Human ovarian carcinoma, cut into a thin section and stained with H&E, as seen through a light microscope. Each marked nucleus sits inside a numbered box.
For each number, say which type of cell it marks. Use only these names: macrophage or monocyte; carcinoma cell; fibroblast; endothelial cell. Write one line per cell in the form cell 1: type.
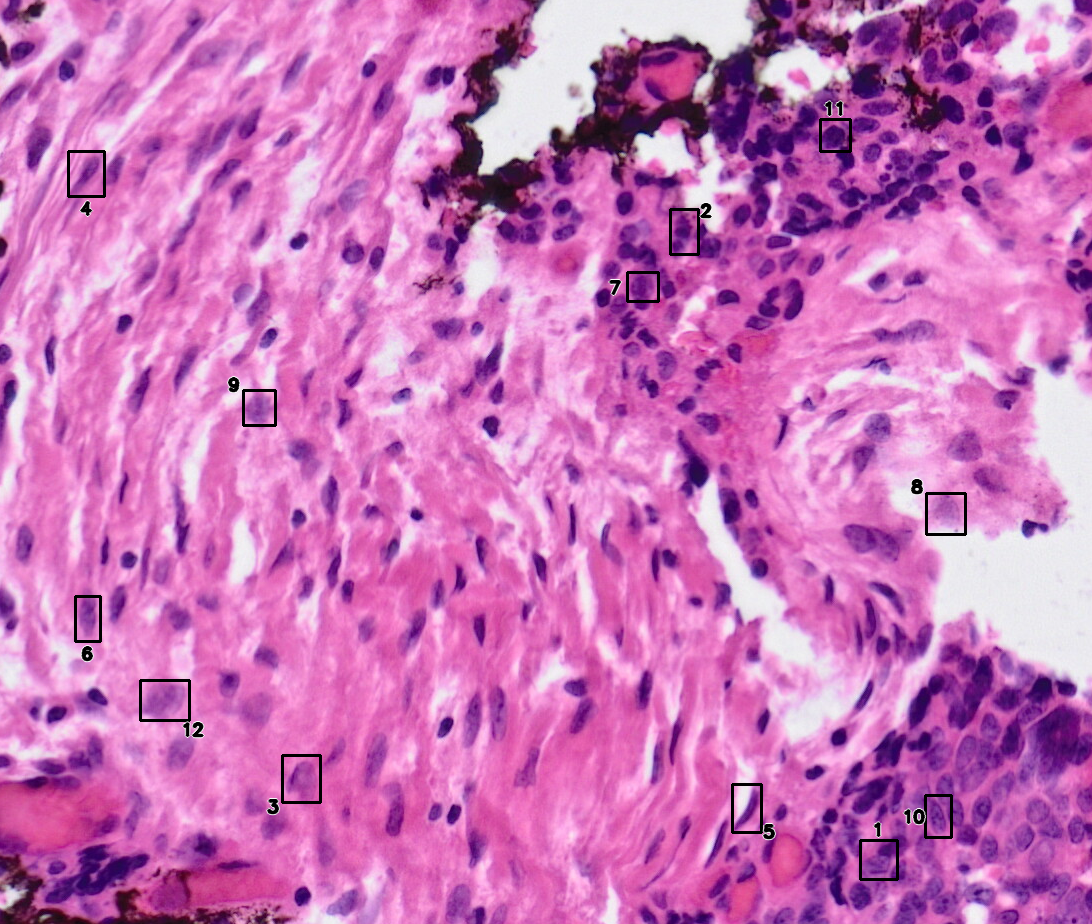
cell 1: carcinoma cell
cell 2: carcinoma cell
cell 3: fibroblast
cell 4: fibroblast
cell 5: fibroblast
cell 6: fibroblast
cell 7: carcinoma cell
cell 8: fibroblast
cell 9: fibroblast
cell 10: carcinoma cell
cell 11: carcinoma cell
cell 12: fibroblast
